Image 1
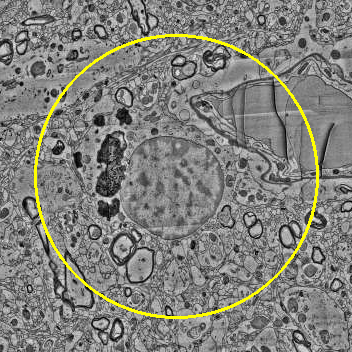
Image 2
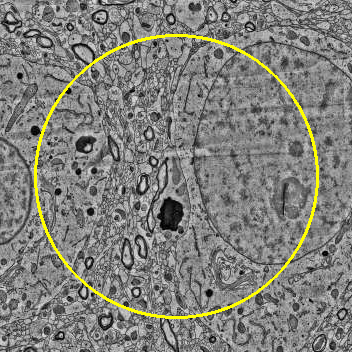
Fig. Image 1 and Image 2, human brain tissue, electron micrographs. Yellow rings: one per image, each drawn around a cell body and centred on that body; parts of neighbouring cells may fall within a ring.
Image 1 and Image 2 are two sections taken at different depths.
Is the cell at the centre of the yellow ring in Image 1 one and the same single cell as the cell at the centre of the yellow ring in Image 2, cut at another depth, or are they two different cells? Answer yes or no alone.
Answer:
no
